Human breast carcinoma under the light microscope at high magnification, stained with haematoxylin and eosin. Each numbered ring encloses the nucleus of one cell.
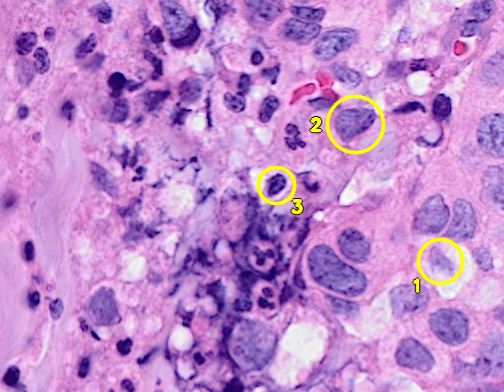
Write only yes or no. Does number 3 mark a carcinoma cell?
no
